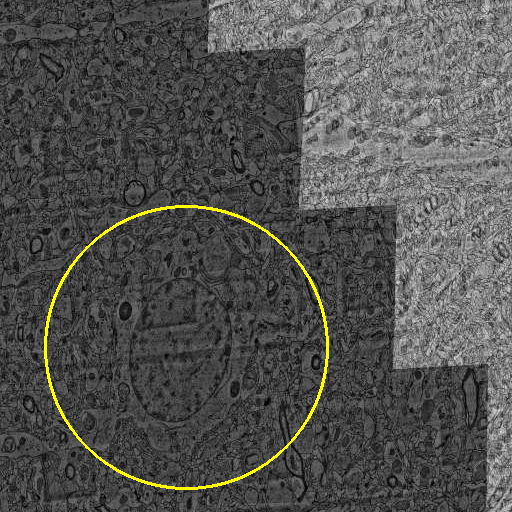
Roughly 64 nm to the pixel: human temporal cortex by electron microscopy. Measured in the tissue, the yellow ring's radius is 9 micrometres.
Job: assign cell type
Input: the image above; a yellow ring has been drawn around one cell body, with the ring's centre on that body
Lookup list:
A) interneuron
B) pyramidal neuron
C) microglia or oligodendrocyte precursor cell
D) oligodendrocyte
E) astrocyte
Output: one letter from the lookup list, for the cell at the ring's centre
E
